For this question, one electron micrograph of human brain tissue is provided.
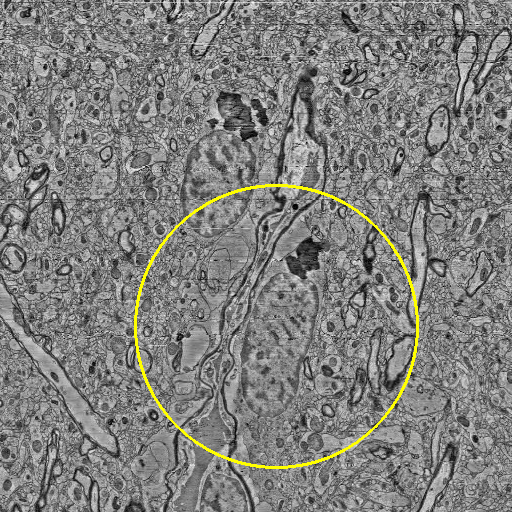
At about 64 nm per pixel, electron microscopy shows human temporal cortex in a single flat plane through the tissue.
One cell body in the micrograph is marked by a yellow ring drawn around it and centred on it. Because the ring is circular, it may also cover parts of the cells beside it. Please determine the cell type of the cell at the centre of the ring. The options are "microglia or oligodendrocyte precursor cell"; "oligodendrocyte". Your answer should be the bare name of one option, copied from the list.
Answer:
oligodendrocyte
